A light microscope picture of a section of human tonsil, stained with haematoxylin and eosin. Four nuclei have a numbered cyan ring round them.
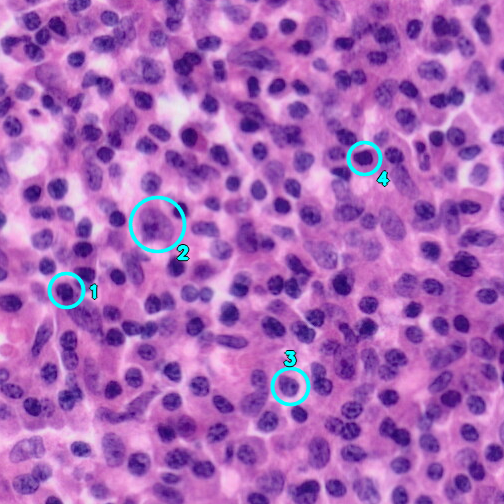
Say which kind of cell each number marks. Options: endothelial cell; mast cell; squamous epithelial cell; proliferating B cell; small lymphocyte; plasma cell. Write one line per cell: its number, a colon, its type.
1: plasma cell
2: squamous epithelial cell
3: plasma cell
4: plasma cell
